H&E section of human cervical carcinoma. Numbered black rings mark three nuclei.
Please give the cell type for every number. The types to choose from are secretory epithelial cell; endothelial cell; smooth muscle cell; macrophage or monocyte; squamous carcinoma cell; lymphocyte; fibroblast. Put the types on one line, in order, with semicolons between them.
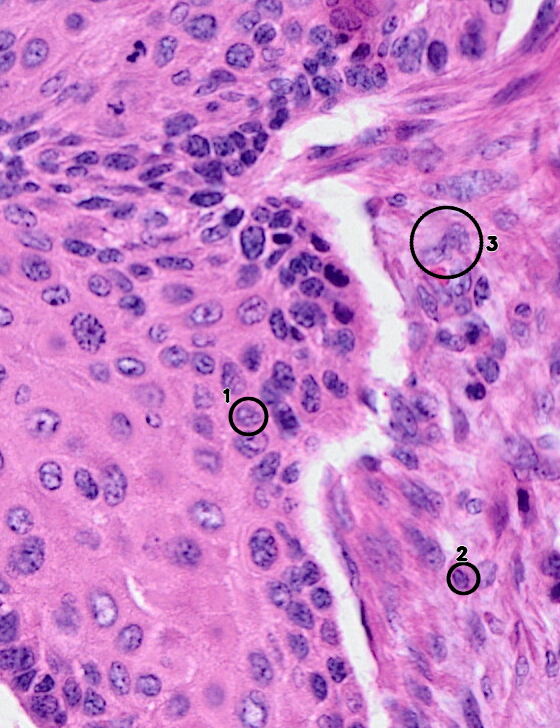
squamous carcinoma cell; macrophage or monocyte; endothelial cell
